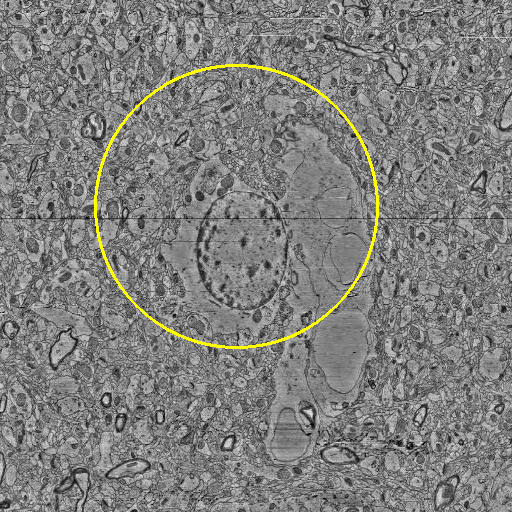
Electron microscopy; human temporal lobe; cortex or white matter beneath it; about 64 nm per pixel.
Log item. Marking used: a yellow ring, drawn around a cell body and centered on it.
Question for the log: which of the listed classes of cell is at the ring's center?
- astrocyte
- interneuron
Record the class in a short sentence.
At the center of the ring lies an astrocyte.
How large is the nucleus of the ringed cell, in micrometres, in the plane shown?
In this plane, the nucleus is roughly 8 by 6 micrometres.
